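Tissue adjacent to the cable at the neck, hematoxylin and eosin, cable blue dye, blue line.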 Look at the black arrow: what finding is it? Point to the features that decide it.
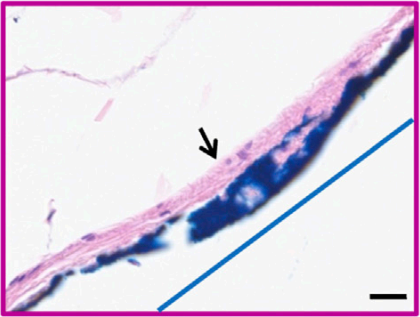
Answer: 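Minimal inflammatory fibrotic encapsulation. A thin pink fibrous layer lies along the blue-dyed edge. The layer contains few scattered nuclei.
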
